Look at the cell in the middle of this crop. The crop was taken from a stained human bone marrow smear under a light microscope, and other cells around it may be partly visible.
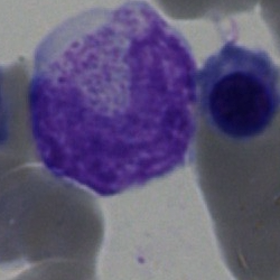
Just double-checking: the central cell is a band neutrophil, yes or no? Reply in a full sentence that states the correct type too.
Yes, the cell located at the center is a band neutrophil.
